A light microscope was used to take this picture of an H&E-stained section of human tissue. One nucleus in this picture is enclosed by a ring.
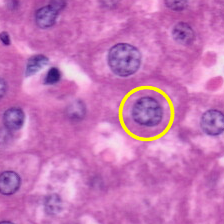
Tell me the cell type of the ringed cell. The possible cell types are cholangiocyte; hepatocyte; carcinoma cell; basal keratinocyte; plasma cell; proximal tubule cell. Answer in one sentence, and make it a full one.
Right, so the ringed cell is a hepatocyte, to answer that.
